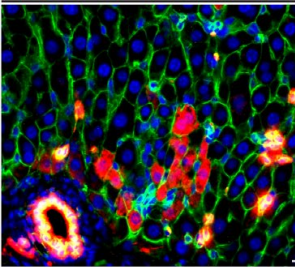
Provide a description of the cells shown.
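Liver tissue of large polygonal hepatocytes with round blue nuclei and green membrane rims, with a ring-shaped duct of small lining cells at the lower left. Besides small red duct cells, several large polygonal cells are filled with red cytoplasm and grouped in clusters near the duct, so these are hepatocytes carrying the red label in a periportal position.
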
